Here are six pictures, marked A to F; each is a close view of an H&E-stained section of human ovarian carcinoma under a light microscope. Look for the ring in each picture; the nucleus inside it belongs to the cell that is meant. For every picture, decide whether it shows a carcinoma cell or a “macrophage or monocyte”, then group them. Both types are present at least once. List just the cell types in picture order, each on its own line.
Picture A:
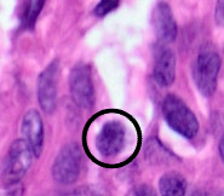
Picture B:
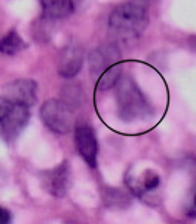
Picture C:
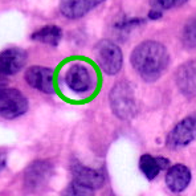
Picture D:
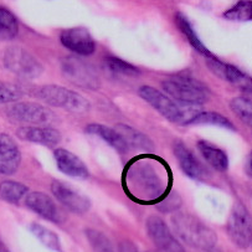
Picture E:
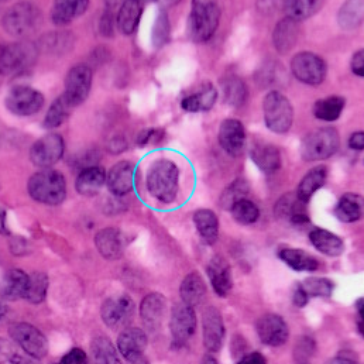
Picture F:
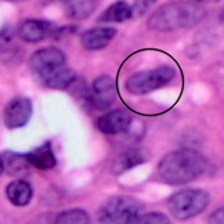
macrophage or monocyte
carcinoma cell
macrophage or monocyte
carcinoma cell
macrophage or monocyte
macrophage or monocyte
